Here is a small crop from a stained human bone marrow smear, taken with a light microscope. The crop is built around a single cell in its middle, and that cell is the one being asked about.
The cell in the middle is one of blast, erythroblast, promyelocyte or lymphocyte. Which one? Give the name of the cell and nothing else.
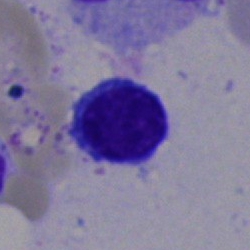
lymphocyte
